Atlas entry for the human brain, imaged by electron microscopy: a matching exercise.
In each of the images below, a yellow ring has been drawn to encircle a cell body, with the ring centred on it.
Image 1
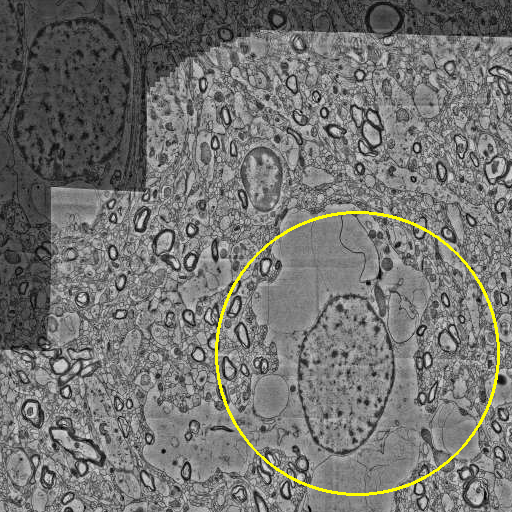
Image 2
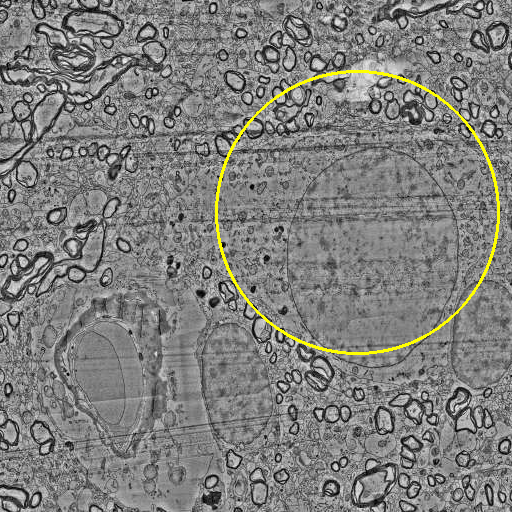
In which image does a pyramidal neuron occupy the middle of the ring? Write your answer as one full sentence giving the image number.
In image 2, the ring is centred on the cell in question.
